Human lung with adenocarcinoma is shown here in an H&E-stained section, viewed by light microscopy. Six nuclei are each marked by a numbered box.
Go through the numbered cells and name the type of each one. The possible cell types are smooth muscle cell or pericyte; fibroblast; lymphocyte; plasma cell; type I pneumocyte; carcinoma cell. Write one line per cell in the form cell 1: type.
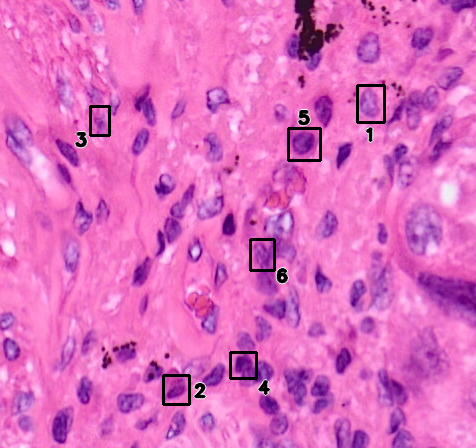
cell 1: fibroblast
cell 2: plasma cell
cell 3: smooth muscle cell or pericyte
cell 4: lymphocyte
cell 5: plasma cell
cell 6: plasma cell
